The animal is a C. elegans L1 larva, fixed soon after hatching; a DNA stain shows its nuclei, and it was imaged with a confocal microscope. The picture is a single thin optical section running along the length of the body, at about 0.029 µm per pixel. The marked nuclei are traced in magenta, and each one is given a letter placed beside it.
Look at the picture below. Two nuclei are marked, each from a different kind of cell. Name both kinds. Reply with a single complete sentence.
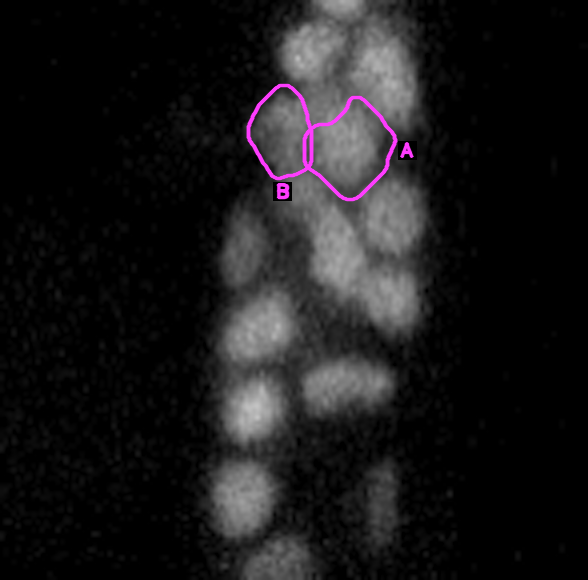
Nucleus A comes from a neuron and nucleus B from a rectal epithelial cell.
